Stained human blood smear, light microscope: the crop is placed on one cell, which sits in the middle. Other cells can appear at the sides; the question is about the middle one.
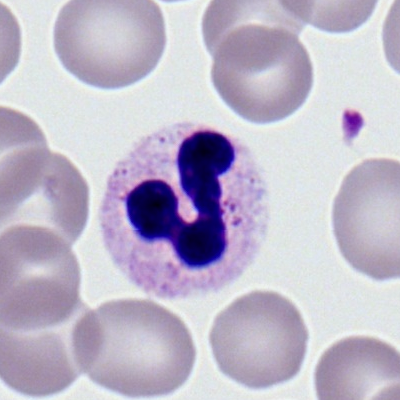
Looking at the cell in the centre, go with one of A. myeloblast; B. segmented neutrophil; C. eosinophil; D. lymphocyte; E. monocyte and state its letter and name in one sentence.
The cell in the center of this crop is a segmented neutrophil, so option B is the one to pick.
